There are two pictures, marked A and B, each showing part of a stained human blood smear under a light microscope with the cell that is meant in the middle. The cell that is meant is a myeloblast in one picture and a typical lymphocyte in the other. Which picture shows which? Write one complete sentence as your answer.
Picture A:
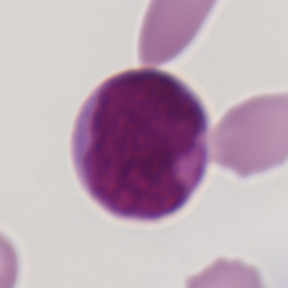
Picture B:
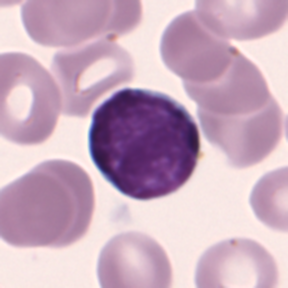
Picture B shows a typical lymphocyte, while picture A shows a myeloblast.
